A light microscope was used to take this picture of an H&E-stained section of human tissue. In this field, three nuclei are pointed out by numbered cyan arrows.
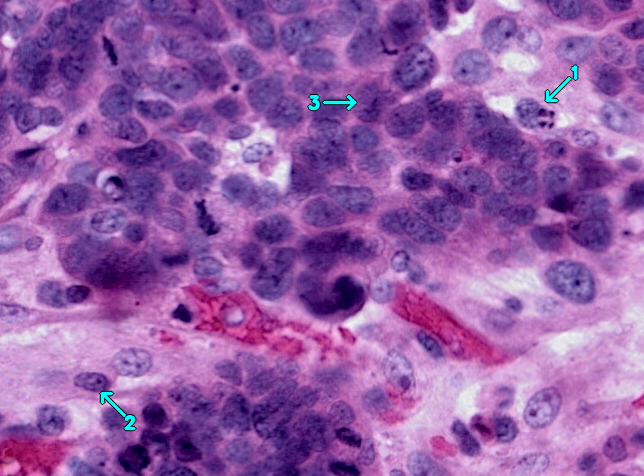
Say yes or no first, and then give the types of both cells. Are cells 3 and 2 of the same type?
No, as for cell 3, it is a carcinoma cell, and cell 2 is a macrophage or monocyte.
